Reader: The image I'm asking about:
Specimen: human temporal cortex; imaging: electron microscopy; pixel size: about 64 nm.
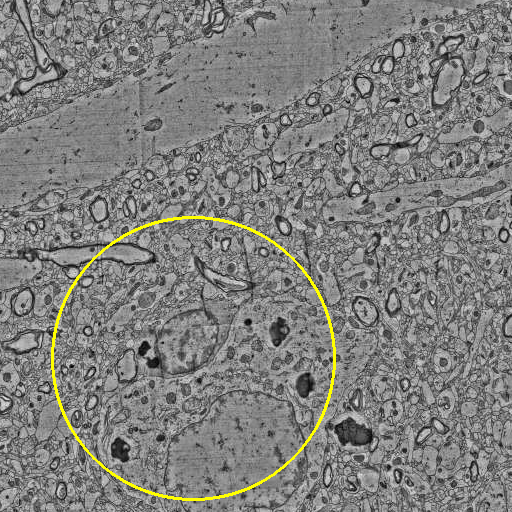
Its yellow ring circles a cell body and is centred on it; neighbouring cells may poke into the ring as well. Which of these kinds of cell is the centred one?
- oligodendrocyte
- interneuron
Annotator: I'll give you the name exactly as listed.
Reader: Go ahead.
oligodendrocyte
